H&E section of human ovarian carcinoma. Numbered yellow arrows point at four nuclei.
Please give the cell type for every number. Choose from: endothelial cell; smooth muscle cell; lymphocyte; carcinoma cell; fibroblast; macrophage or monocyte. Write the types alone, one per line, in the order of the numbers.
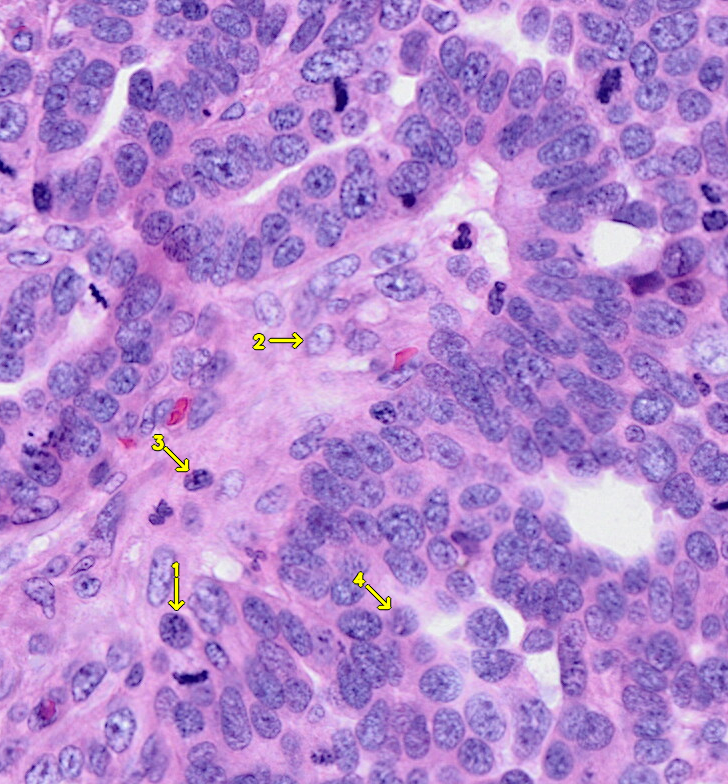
macrophage or monocyte
fibroblast
lymphocyte
carcinoma cell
